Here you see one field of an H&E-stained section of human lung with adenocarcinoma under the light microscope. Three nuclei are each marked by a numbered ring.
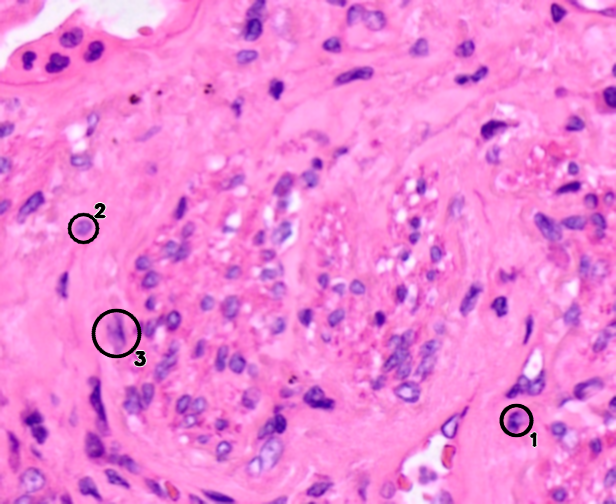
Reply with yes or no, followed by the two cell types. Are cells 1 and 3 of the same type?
No, just to clarify, cell 1 is a mast cell and cell 3 is a fibroblast.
